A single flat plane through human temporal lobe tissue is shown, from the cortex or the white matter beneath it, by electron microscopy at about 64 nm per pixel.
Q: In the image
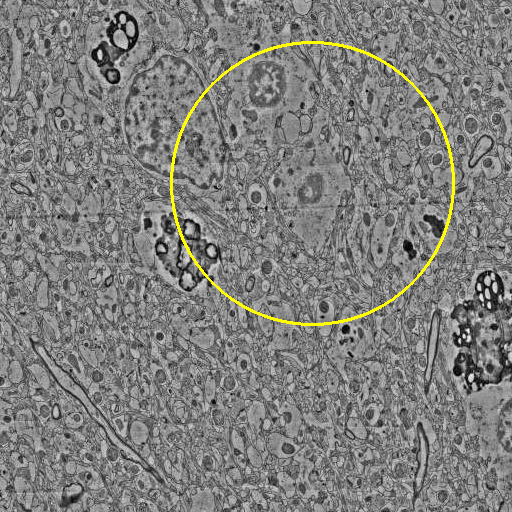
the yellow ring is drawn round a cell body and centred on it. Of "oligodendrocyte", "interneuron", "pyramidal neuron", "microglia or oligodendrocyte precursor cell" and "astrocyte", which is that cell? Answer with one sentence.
The cell centred in the ring is an astrocyte.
